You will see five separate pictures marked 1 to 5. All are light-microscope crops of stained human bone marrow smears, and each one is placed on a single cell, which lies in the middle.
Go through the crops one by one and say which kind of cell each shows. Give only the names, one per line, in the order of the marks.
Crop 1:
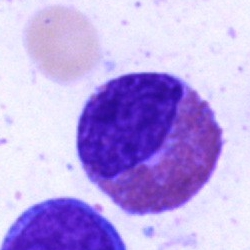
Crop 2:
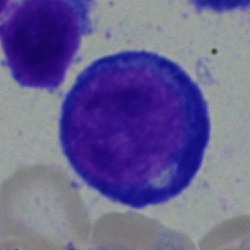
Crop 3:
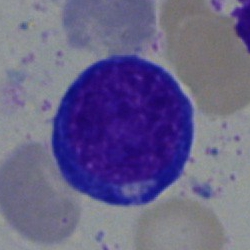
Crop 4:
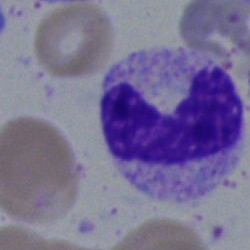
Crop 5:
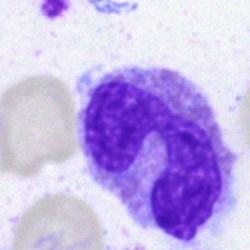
eosinophil
proerythroblast
proerythroblast
band neutrophil
monocyte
